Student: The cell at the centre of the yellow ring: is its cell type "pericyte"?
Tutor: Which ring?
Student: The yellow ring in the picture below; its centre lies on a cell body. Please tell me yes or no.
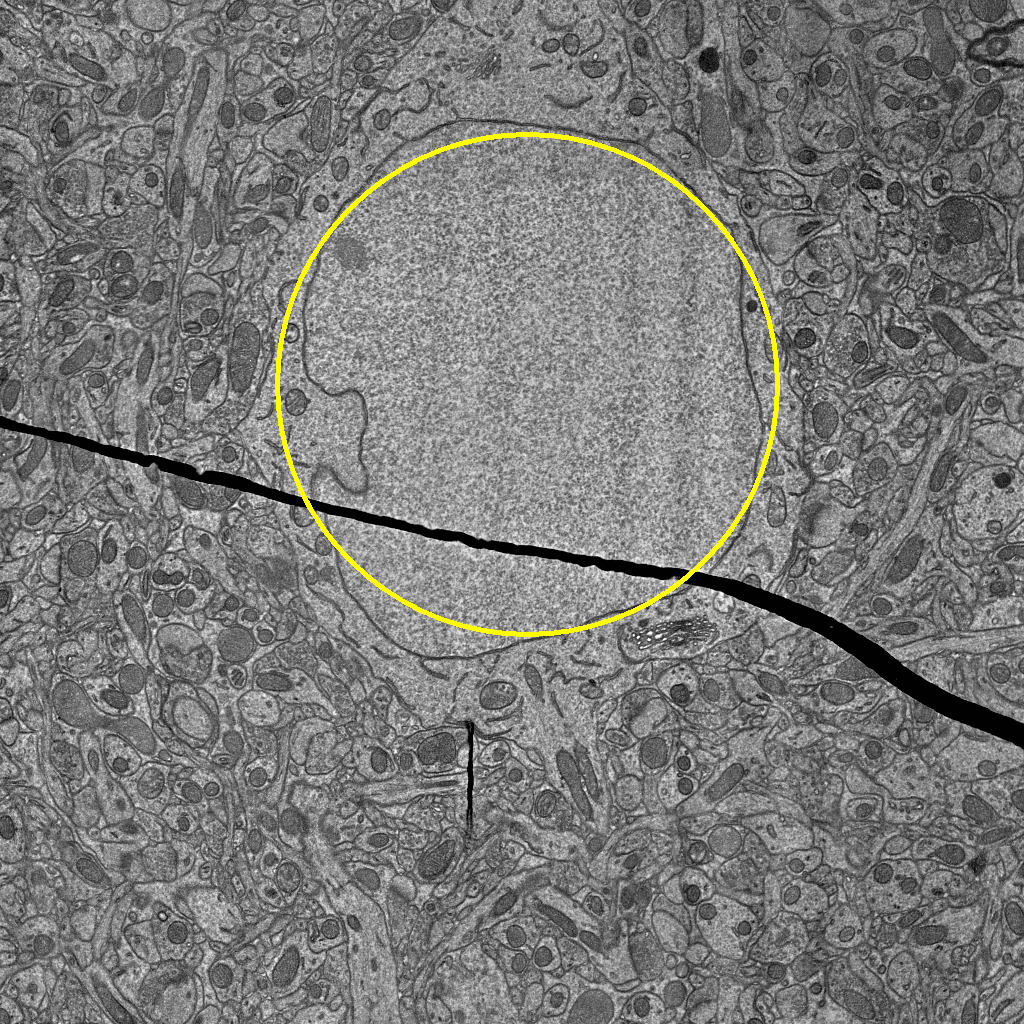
no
